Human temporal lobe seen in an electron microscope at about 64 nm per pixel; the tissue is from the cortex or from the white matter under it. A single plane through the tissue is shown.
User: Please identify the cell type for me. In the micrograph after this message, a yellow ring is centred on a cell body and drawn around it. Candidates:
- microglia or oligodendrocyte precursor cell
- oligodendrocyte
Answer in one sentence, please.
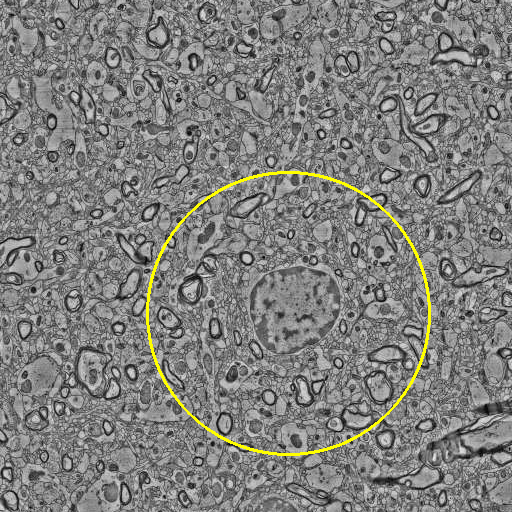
The ring is drawn around the cell body of a microglial cell or oligodendrocyte precursor cell.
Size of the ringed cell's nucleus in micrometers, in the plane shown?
Roughly 6 micrometers across, in this plane.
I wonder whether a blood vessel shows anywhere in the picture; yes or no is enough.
No, there is none.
